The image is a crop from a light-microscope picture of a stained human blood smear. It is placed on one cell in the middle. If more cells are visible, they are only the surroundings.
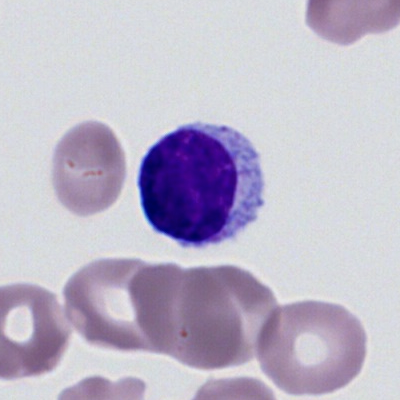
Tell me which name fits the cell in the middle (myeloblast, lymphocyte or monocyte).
lymphocyte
